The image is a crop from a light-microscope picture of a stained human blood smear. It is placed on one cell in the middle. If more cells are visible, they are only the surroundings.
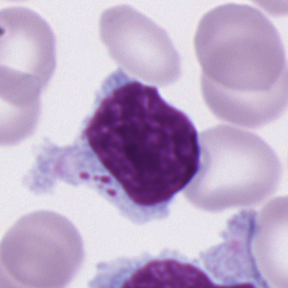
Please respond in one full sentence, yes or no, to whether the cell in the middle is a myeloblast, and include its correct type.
No, what lies at the heart of the crop is a large granular lymphocyte, not a myeloblast.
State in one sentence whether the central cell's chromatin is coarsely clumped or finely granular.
In this nucleus, the chromatin is arranged in coarse clumps.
